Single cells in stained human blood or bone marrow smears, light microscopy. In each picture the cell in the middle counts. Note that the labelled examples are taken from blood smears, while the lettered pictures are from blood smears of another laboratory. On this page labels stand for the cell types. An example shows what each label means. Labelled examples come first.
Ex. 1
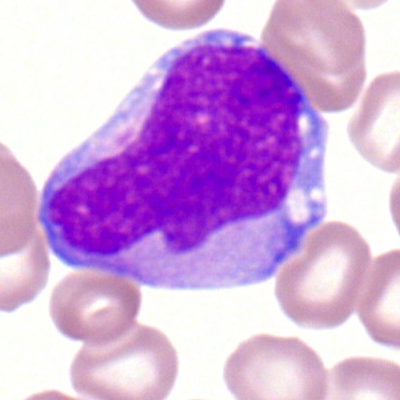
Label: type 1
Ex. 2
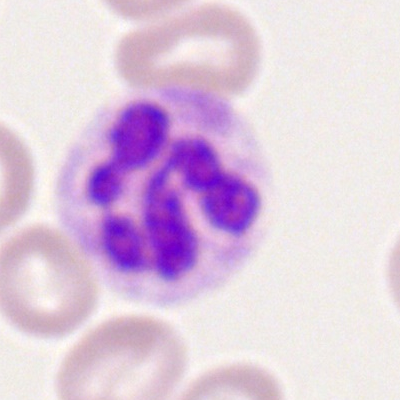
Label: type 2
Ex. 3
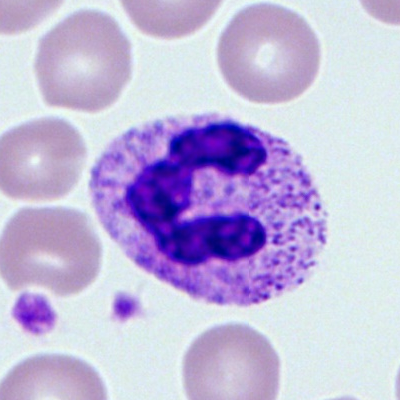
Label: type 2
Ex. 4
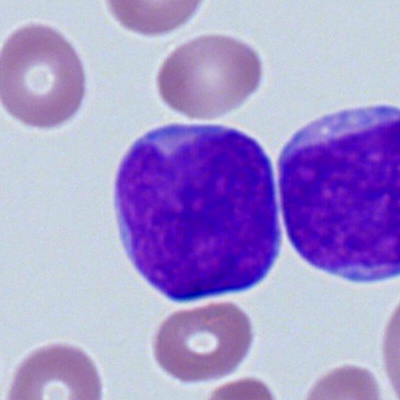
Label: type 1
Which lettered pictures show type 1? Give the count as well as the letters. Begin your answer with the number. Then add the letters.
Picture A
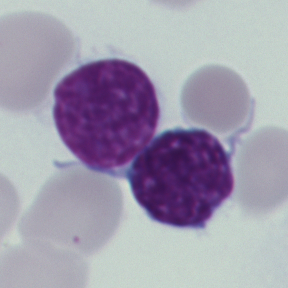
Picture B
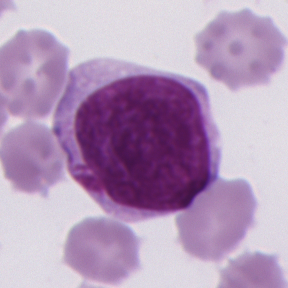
2: A, B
